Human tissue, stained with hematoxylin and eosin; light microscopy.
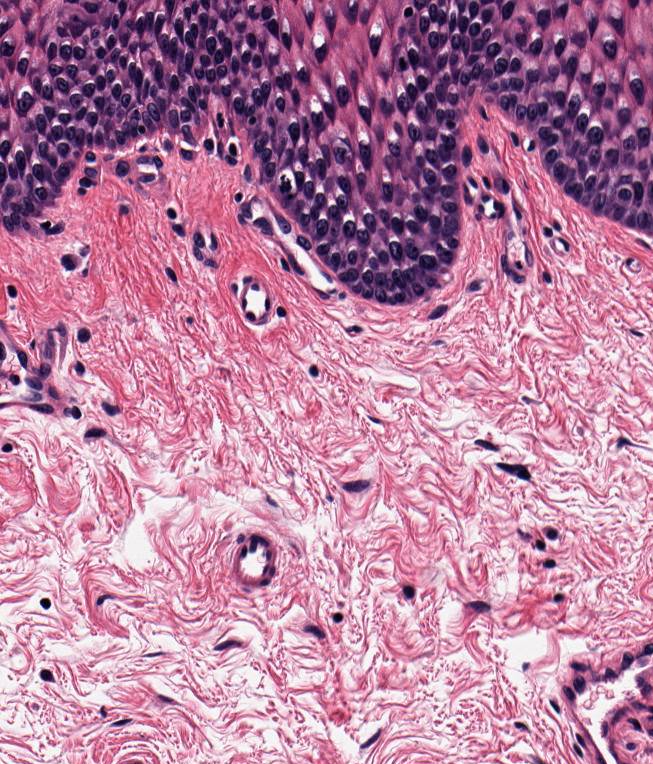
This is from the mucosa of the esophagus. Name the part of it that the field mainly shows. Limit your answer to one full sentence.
The part of the tissue seen in this section is loose connective tissue.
